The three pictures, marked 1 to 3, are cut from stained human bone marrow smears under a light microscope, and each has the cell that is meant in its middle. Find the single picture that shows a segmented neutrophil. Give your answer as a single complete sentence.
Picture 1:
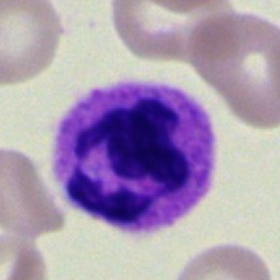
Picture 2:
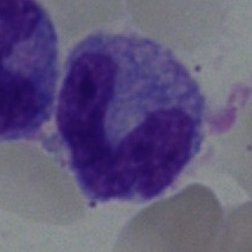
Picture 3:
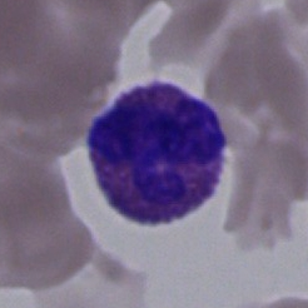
The segmented neutrophil is the one in picture 1.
